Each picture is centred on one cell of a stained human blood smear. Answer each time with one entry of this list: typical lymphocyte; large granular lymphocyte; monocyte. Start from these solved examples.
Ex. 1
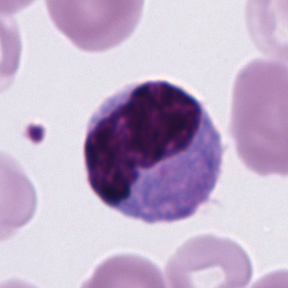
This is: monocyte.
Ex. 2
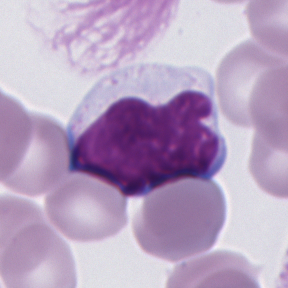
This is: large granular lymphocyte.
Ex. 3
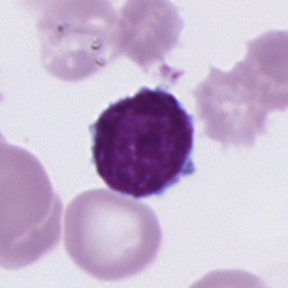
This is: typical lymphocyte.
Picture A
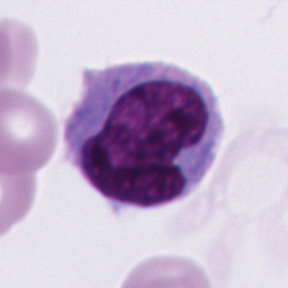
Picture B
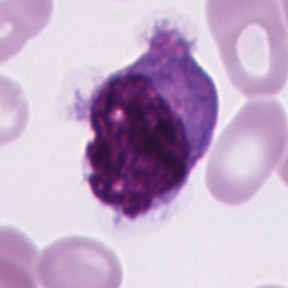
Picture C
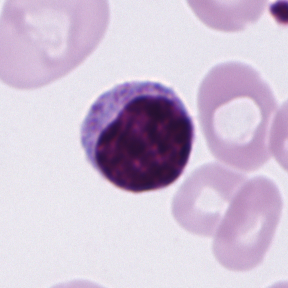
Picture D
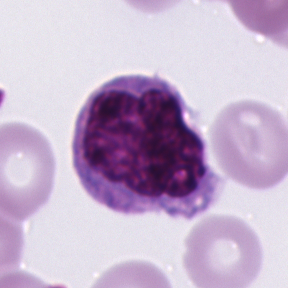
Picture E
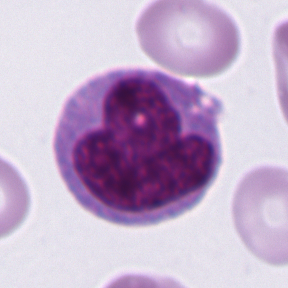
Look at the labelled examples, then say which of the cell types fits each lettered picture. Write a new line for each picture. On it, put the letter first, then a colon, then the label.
A: monocyte.
B: monocyte.
C: large granular lymphocyte.
D: monocyte.
E: monocyte.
